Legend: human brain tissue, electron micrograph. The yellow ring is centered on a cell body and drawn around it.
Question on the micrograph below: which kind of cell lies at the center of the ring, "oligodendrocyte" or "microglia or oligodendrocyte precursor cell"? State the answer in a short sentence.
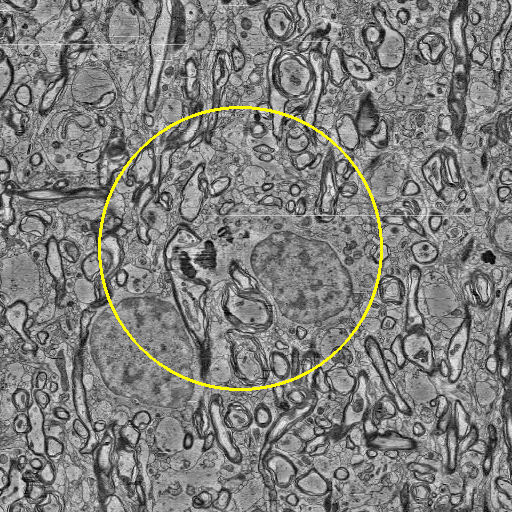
At the center of the ring lies an oligodendrocyte.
